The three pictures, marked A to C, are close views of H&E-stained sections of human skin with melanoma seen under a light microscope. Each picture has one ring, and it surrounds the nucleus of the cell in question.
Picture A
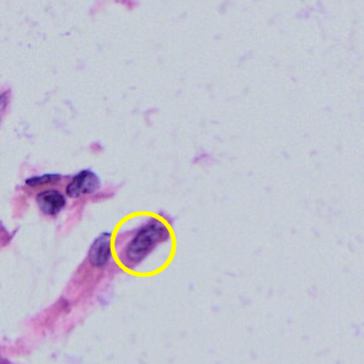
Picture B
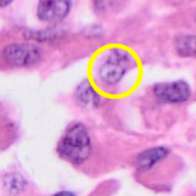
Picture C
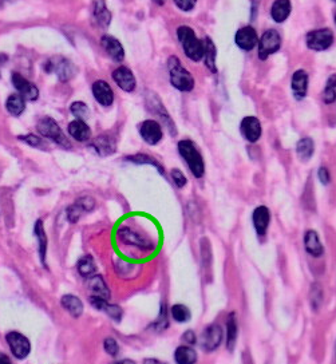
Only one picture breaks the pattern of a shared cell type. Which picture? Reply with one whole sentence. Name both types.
Unlike the rest, which show melanoma cells, picture C shows an endothelial cell.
